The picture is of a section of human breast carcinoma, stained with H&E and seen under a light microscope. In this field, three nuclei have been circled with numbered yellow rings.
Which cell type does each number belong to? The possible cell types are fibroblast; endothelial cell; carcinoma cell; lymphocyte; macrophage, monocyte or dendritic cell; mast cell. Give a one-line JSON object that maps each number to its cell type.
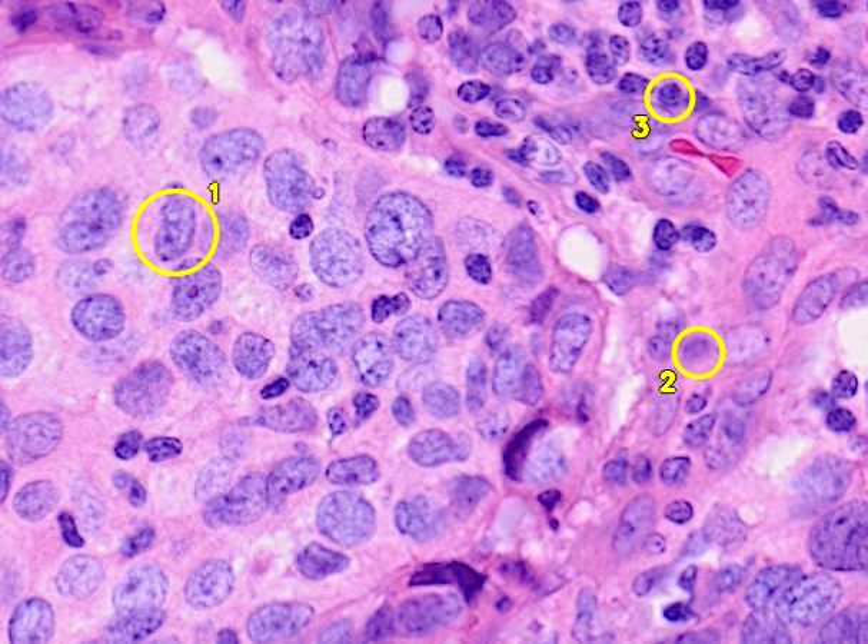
{"1": "carcinoma cell", "2": "endothelial cell", "3": "lymphocyte"}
